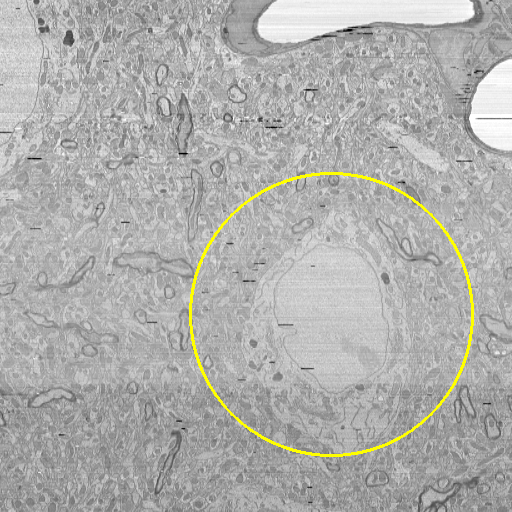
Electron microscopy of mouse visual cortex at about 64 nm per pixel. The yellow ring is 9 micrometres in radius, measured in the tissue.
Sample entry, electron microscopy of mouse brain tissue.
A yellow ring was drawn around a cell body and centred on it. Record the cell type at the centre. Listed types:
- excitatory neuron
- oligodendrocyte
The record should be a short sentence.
The cell at the ring's centre is an excitatory neuron.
